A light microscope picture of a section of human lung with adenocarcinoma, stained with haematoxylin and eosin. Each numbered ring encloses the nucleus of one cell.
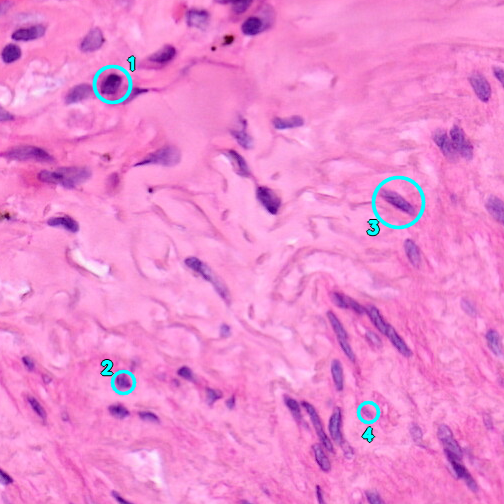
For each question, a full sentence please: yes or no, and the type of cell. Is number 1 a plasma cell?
Yes, the cell given number 1 is a plasma cell.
